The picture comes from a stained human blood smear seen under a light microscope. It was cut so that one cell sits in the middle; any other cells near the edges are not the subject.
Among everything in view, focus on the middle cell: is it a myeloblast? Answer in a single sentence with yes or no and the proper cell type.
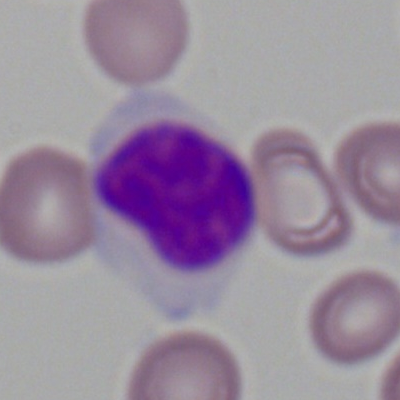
No, the central cell is identified not as a myeloblast but as a lymphocyte.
